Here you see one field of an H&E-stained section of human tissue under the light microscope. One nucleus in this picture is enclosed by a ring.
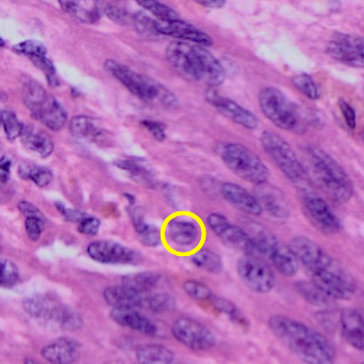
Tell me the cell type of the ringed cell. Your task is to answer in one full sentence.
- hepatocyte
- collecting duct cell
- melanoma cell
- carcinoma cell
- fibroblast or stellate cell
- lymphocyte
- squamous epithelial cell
As to its cell type, the ringed cell is a melanoma cell.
